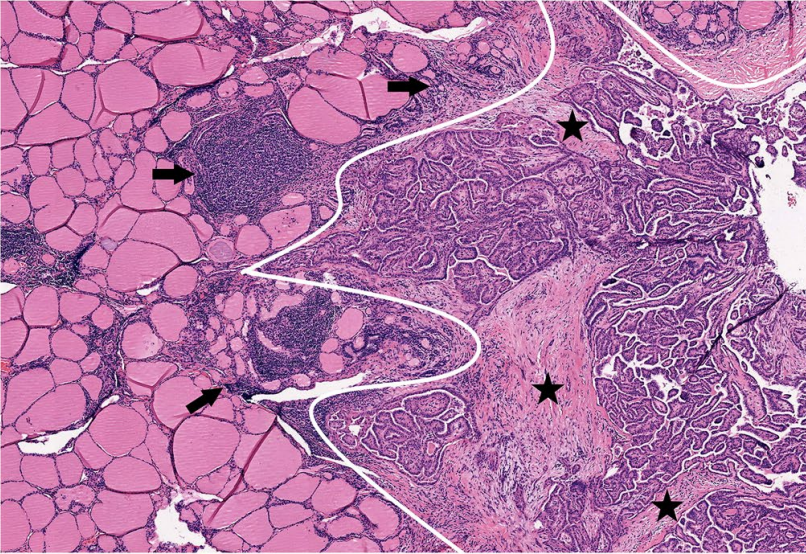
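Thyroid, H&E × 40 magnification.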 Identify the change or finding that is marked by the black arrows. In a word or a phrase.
lymphocytes infiltration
